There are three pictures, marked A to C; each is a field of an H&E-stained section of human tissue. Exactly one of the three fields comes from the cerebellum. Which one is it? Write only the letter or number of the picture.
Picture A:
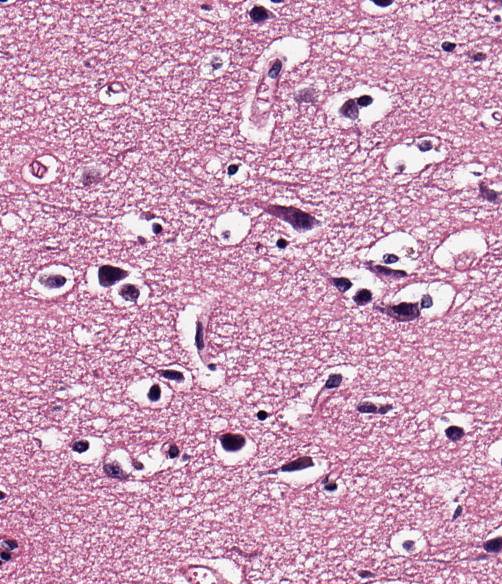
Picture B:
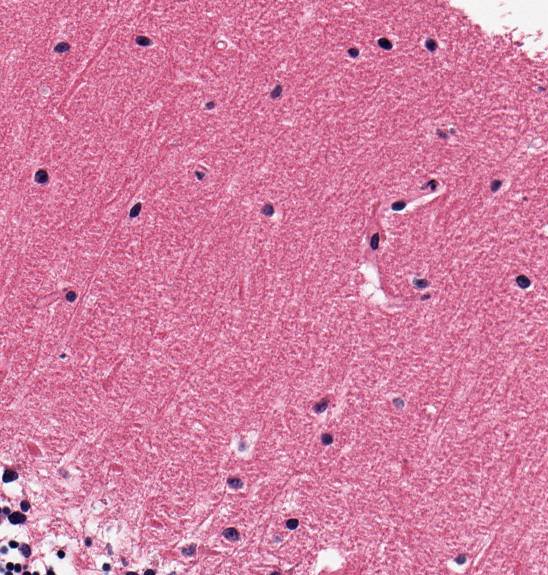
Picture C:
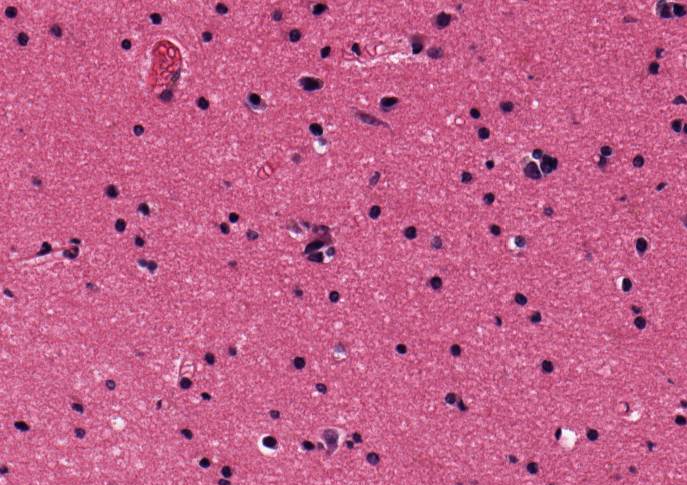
B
